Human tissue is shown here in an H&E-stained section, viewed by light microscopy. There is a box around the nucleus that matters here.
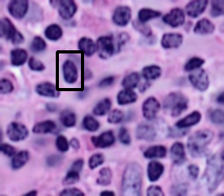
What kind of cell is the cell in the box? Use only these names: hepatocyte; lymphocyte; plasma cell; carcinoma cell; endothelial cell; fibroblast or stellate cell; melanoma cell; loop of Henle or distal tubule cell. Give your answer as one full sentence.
What the cell in the box represents is a lymphocyte.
